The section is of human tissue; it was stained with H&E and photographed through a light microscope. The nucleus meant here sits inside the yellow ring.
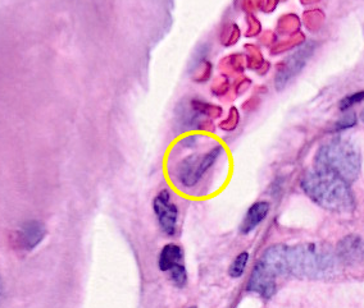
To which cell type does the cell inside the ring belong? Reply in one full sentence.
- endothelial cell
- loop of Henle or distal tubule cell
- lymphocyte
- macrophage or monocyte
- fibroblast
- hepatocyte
As classified here, the cell inside the ring is an endothelial cell.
